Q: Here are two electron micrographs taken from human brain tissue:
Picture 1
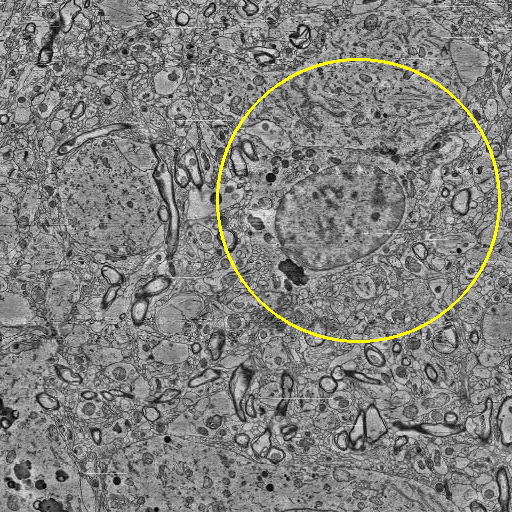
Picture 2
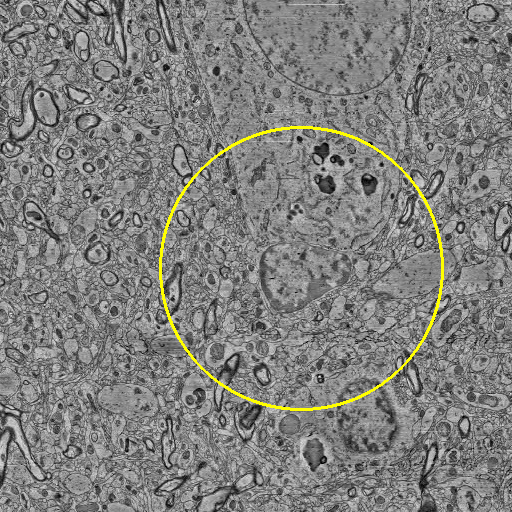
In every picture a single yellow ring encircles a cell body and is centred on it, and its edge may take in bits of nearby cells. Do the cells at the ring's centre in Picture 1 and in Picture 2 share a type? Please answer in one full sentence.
No, the cells at the ring's centre in Picture 1 and Picture 2 are of two types.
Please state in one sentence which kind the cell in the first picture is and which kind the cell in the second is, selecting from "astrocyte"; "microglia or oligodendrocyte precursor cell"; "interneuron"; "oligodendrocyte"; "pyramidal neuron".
The first ringed cell is an oligodendrocyte, the second ringed cell a microglial cell or oligodendrocyte precursor cell.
